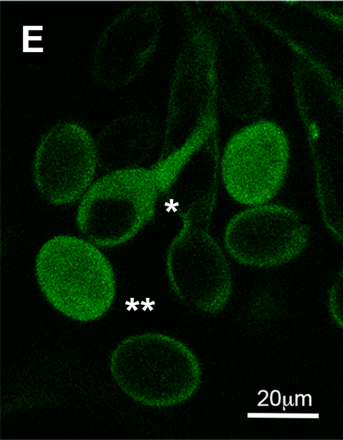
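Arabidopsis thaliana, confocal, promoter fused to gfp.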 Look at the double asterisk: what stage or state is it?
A: non-germinating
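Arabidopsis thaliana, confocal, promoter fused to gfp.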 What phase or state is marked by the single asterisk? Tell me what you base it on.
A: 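Germinating. The grain beside the single asterisk has a tube growing out of it. The tube extends upward away from the grain.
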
